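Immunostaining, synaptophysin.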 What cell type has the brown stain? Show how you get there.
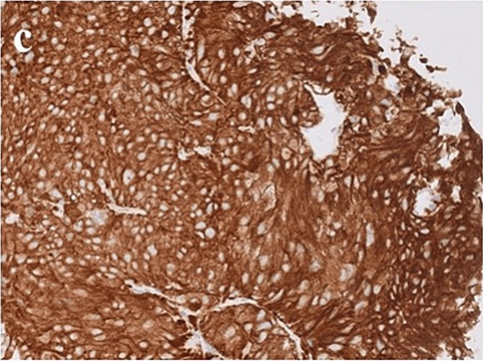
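Tumor cells. Brown stain fills the cytoplasm of nearly all cells. Nuclei stand out pale against the brown cytoplasm. The stained cells form a dense sheet.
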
